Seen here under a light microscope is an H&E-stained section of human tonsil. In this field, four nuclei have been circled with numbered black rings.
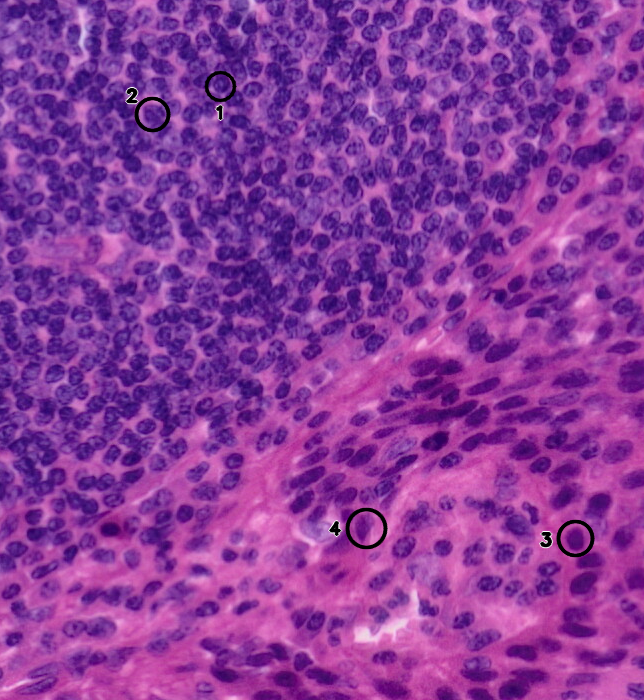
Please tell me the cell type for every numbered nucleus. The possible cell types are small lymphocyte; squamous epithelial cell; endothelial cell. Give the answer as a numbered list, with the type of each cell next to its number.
1. small lymphocyte
2. small lymphocyte
3. squamous epithelial cell
4. squamous epithelial cell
